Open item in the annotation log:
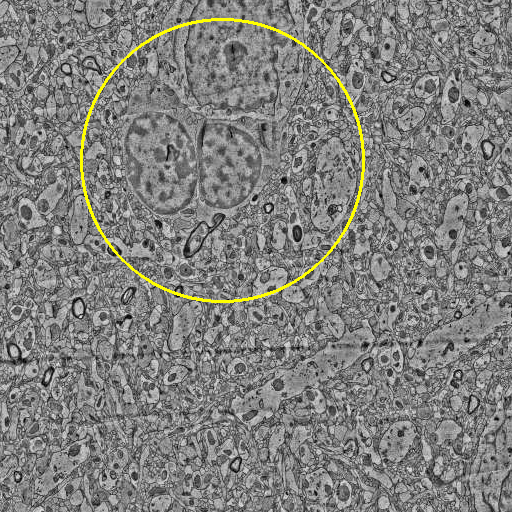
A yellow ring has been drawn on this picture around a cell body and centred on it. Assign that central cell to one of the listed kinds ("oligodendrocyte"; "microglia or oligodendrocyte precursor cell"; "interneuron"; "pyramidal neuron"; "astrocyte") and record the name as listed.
oligodendrocyte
